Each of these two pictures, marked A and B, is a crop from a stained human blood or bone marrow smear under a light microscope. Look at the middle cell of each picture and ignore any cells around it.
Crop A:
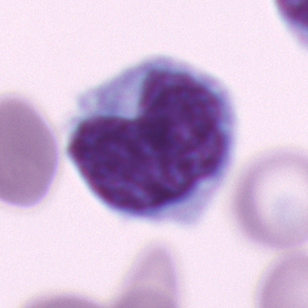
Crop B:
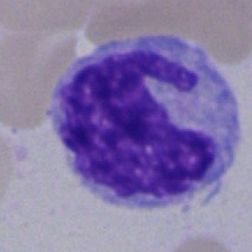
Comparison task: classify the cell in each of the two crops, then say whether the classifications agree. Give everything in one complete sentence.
Yes, monocytes occupy the centre of both crops.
